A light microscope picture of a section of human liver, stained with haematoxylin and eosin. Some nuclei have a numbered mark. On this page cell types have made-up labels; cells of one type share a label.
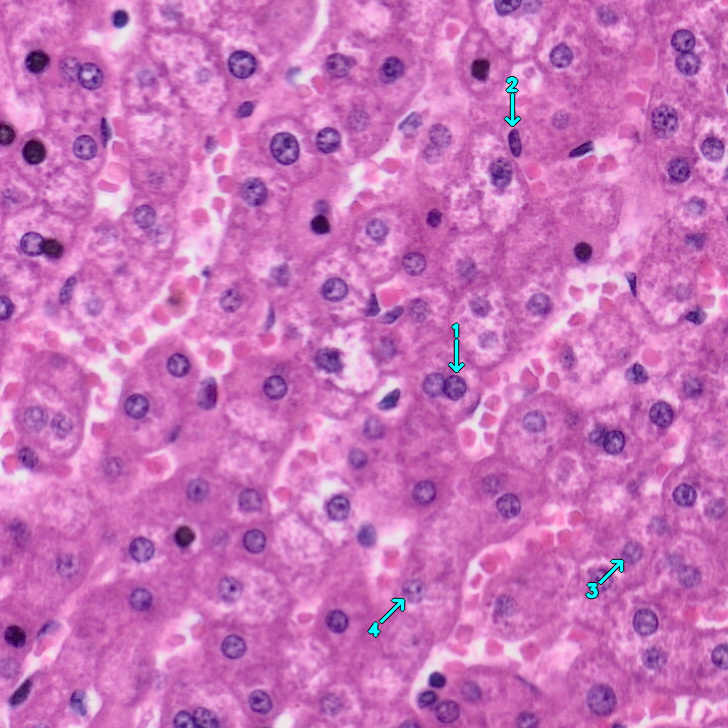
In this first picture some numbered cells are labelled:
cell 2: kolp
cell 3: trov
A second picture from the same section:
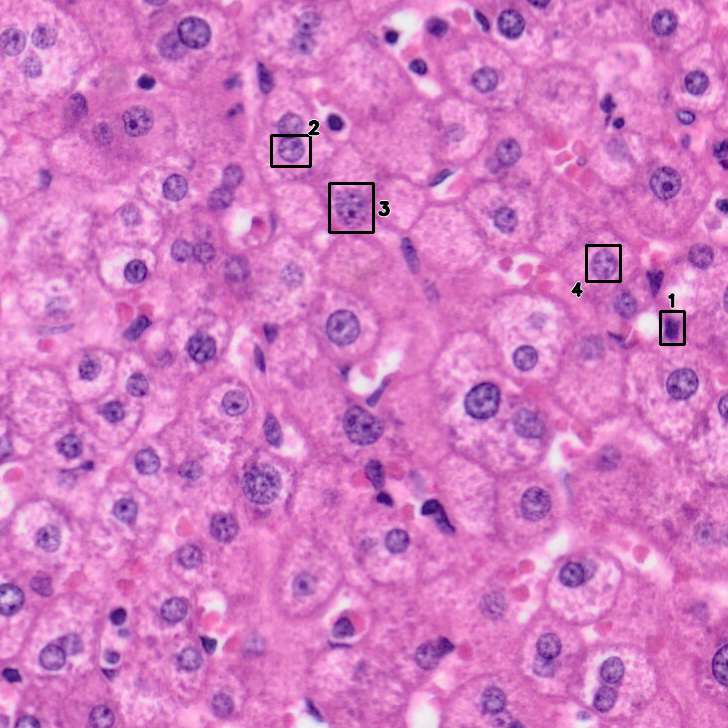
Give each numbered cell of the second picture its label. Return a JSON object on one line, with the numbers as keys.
{"1": "kolp", "2": "trov", "3": "trov", "4": "trov"}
